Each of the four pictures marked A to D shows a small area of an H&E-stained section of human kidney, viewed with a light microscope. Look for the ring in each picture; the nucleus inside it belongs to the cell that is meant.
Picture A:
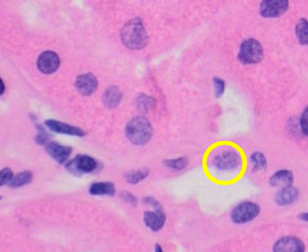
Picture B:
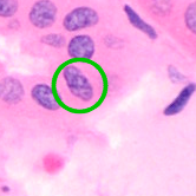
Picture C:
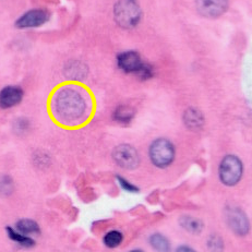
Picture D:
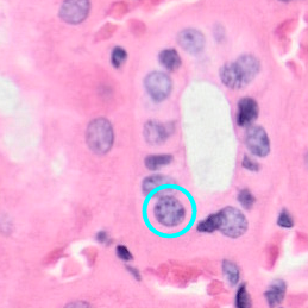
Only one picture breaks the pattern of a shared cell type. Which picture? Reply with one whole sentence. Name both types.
The different one is picture C; it shows a proximal tubule cell, whereas all the others show collecting duct cells.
